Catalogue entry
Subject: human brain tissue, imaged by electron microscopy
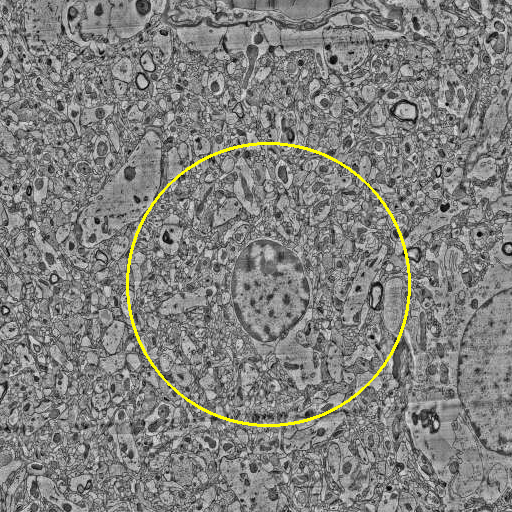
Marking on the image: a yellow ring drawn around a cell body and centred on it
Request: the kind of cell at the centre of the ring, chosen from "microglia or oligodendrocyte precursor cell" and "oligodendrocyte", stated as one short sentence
The ring has a microglial cell or oligodendrocyte precursor cell at its centre.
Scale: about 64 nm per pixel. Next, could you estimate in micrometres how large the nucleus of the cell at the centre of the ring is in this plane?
The nucleus appears roughly 6 by 5 micrometres in this plane.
